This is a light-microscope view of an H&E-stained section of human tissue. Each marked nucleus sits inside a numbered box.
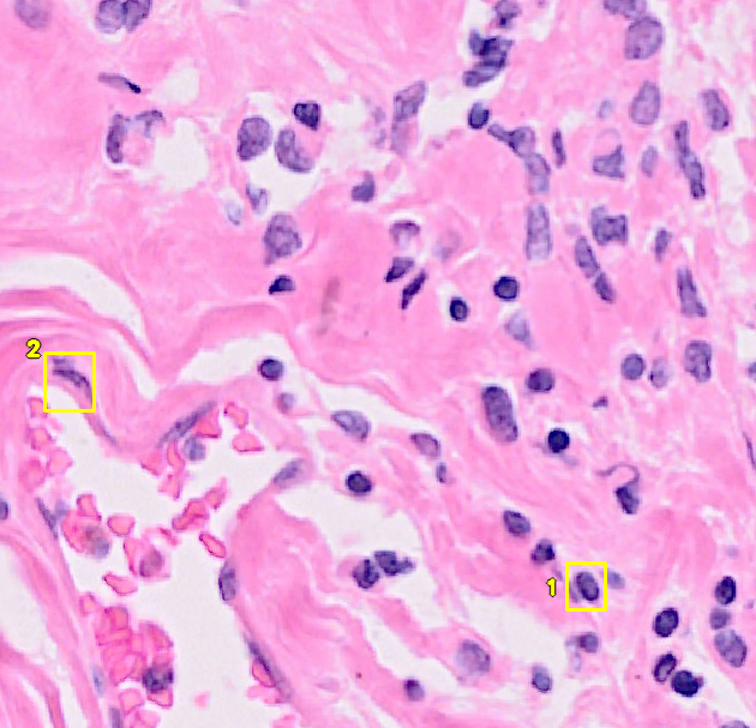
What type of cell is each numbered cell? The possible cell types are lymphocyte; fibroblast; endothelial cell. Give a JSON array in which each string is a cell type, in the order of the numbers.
["lymphocyte", "endothelial cell"]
